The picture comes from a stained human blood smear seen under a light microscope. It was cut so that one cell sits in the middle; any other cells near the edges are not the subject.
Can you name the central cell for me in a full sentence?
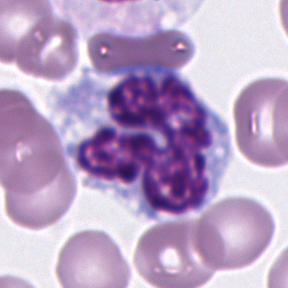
The cell at the middle of the frame should be recorded as a monocyte.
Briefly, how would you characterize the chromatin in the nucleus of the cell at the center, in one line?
Just so you know, its chromatin is coarsely clumped.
